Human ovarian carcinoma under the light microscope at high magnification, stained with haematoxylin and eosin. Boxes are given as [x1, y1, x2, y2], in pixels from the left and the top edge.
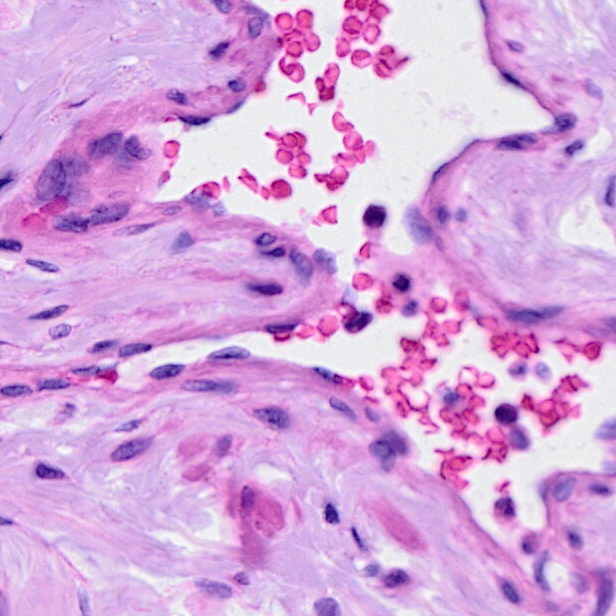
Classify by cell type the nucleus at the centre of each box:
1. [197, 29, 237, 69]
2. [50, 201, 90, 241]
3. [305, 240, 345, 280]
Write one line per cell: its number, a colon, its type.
1: smooth muscle cell
2: endothelial cell
3: endothelial cell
